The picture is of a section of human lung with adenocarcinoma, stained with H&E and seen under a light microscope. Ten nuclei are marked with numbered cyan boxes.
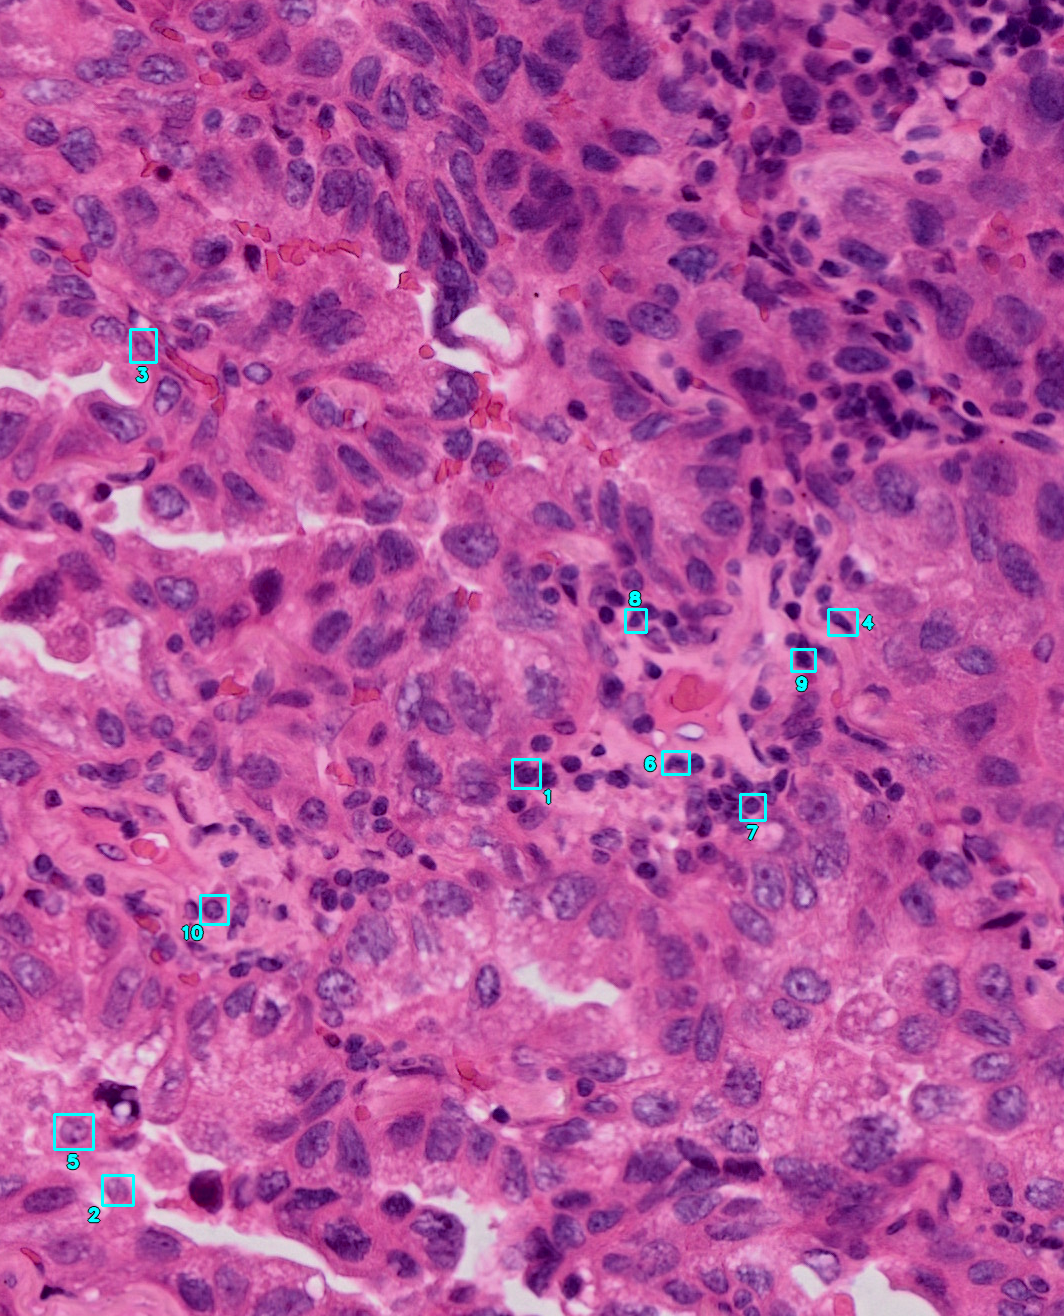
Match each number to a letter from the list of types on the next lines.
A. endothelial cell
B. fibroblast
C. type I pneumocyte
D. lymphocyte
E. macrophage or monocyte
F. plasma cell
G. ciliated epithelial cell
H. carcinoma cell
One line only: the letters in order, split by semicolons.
D; E; E; D; E; D; D; D; D; F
